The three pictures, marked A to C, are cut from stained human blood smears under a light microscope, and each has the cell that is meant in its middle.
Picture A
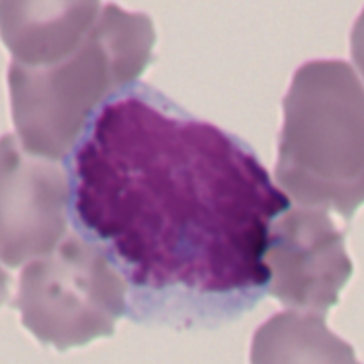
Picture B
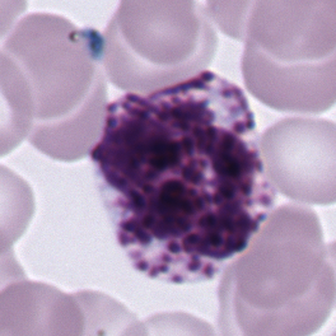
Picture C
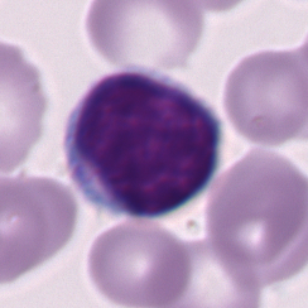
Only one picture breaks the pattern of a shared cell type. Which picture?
B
